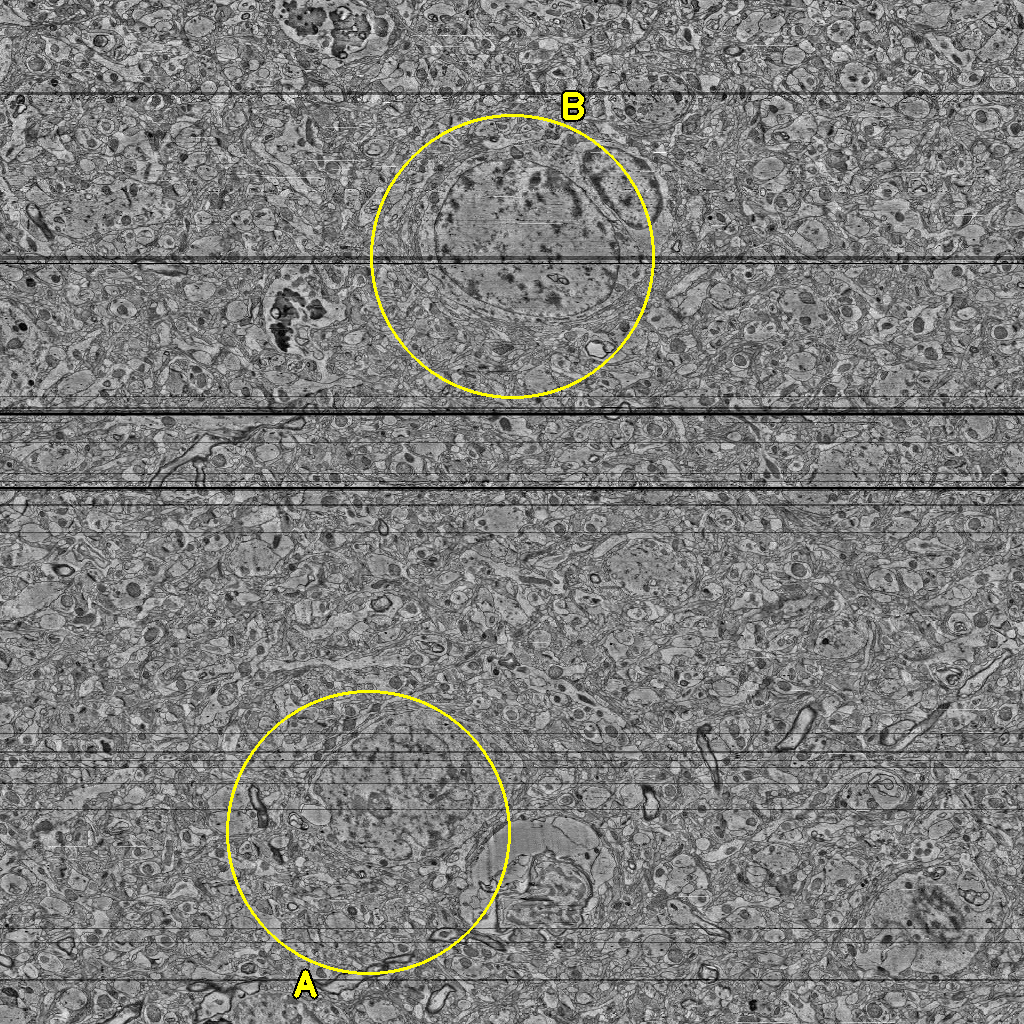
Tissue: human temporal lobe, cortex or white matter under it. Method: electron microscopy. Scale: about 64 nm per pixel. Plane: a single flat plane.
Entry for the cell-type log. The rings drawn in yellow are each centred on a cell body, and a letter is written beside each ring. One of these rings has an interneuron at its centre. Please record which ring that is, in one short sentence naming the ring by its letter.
Ring A is centred on it.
